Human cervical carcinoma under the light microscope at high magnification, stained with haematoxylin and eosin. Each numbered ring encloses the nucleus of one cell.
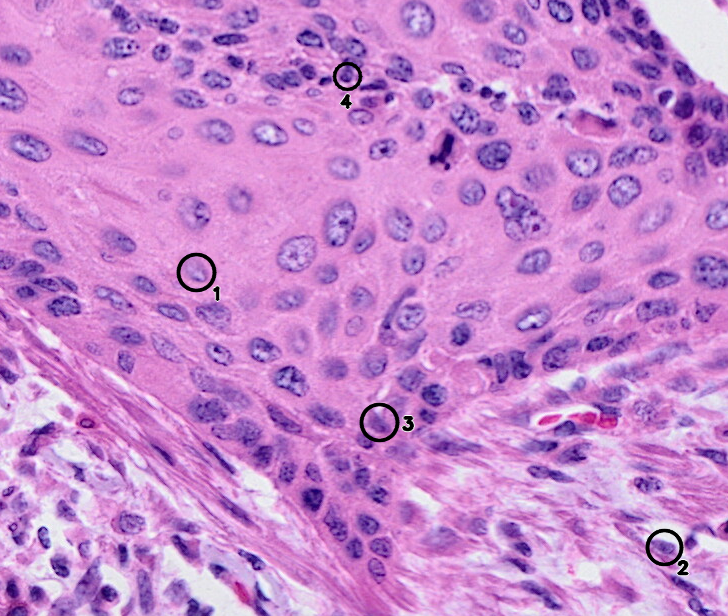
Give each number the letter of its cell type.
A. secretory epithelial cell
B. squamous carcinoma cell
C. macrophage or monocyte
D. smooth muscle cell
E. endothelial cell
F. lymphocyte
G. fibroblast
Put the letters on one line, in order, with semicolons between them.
B; G; B; B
